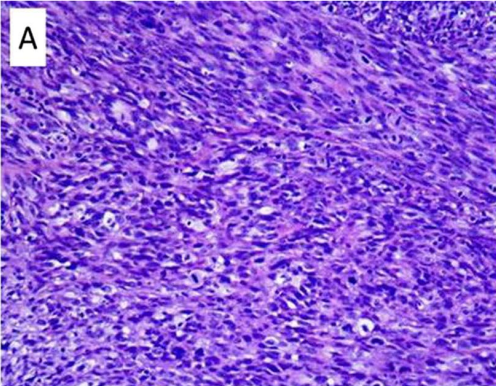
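Densely cellular tumor tissue of elongated spindle cells with dark purple, oval to elongated nuclei and scant pink cytoplasm, crowded together. The cells stream in parallel bundles, here and there swirling, with a few scattered larger cells and clear spaces. This is a spindle cell tumor arranged in fascicles with a focal storiform pattern.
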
